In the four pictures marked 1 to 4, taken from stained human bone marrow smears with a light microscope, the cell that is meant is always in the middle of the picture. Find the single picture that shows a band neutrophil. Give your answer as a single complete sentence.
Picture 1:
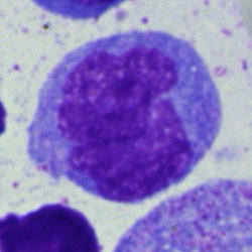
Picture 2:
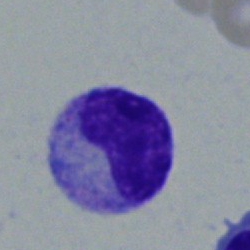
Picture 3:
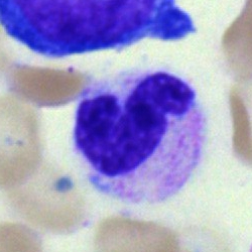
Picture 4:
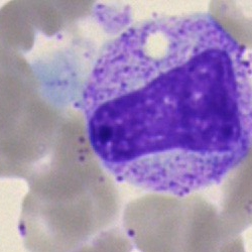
The band neutrophil is the one in picture 3.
